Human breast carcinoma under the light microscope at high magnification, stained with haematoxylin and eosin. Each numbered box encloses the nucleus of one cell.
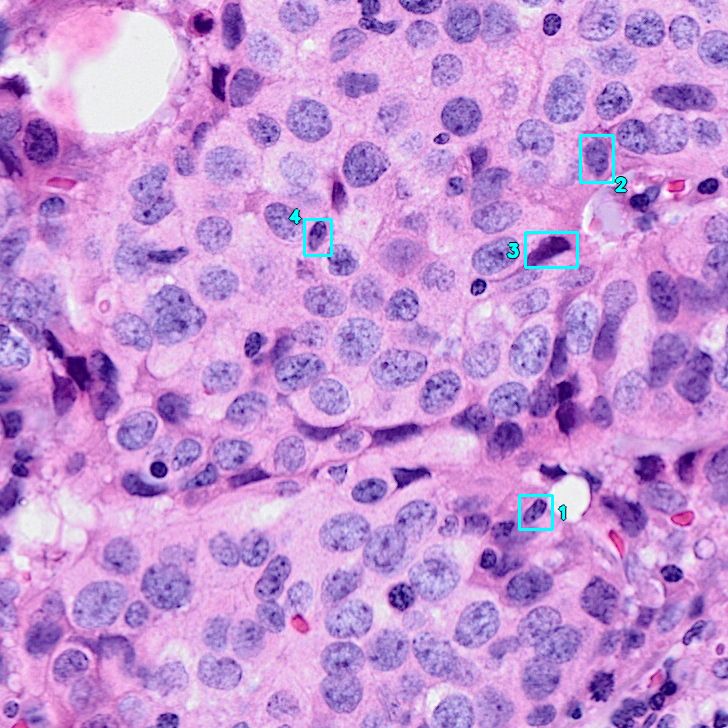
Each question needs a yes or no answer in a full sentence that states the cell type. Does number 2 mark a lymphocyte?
No, the marked cell 2 is not a lymphocyte, being instead a carcinoma cell.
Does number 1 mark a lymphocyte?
Yes, cell 1 is a lymphocyte in this tissue section.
